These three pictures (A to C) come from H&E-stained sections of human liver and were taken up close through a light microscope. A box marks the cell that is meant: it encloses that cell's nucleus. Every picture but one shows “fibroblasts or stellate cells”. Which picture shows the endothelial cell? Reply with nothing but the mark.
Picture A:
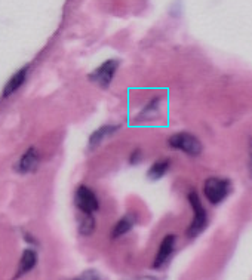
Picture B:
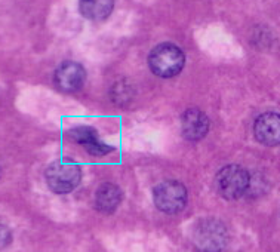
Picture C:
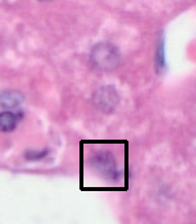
B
